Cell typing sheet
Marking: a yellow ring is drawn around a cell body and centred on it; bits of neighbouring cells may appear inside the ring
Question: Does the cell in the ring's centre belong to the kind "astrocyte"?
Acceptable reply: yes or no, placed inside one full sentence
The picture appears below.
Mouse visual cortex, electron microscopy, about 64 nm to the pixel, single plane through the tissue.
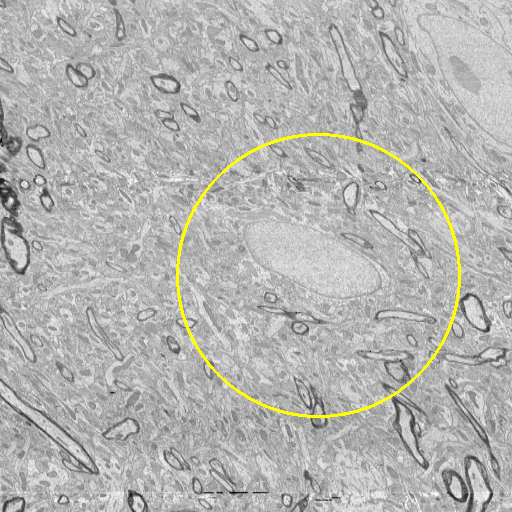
Yes, the cell in the centre of the ring is of the kind asked about.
